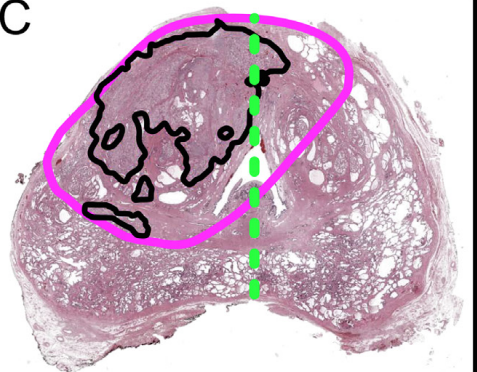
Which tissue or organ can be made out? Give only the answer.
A: Prostate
